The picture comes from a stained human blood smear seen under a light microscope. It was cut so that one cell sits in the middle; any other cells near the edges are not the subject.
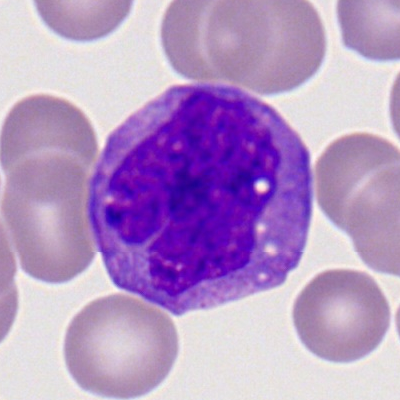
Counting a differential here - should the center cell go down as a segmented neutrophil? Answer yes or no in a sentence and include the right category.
No, the one in the center is not a segmented neutrophil; it is a monocyte.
